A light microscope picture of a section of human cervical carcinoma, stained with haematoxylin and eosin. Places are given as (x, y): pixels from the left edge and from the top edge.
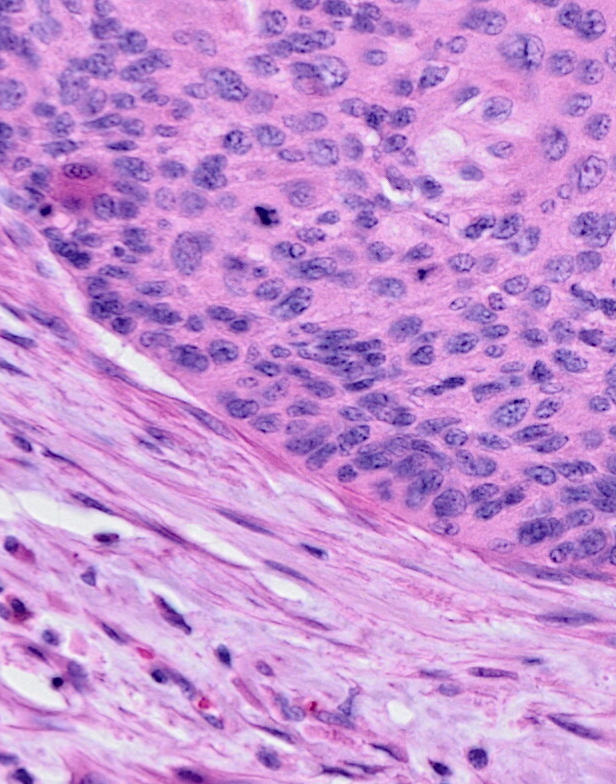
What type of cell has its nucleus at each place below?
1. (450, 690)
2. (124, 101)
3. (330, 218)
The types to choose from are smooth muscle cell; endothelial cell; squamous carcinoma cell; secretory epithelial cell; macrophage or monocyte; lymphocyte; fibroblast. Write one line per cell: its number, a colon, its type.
1: fibroblast
2: squamous carcinoma cell
3: squamous carcinoma cell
